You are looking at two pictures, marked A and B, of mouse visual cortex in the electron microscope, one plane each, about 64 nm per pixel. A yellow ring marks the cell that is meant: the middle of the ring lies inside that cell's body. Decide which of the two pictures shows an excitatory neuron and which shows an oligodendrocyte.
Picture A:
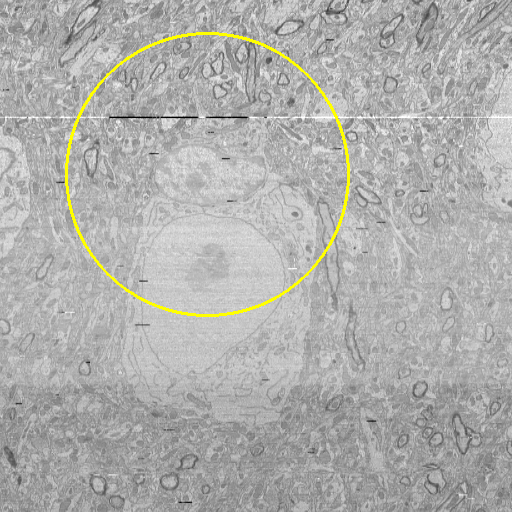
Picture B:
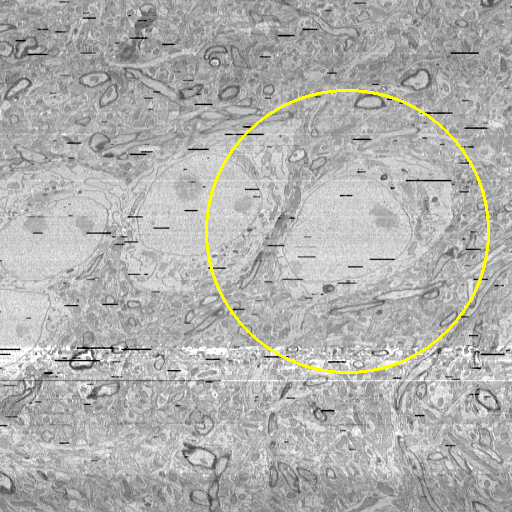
Picture A is of an oligodendrocyte, and picture B is of an excitatory neuron.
